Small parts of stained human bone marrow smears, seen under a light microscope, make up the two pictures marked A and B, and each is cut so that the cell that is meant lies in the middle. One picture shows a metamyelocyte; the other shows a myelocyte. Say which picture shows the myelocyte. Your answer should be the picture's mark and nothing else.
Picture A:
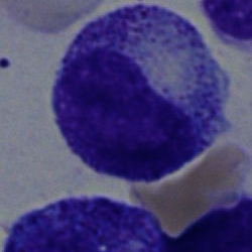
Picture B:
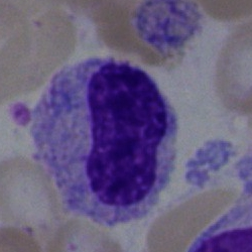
A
